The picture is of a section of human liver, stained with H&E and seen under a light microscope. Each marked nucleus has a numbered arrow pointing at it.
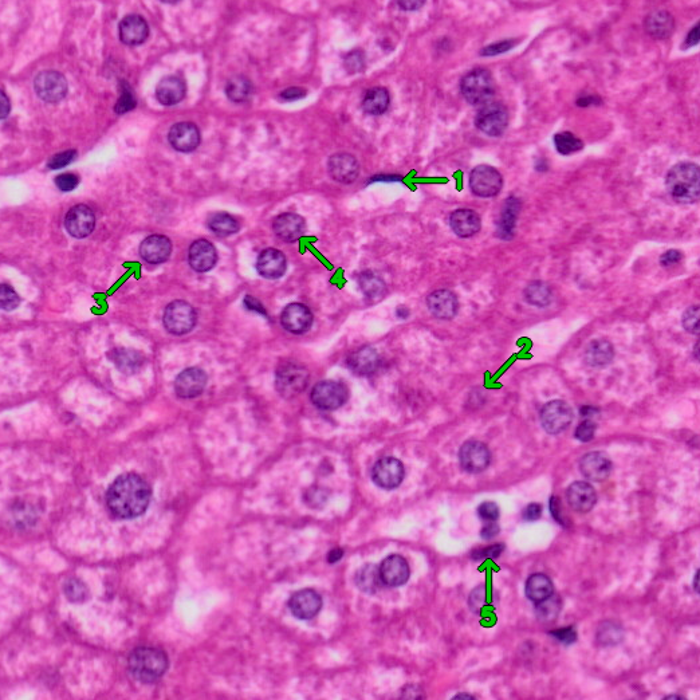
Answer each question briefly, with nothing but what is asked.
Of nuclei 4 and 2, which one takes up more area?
4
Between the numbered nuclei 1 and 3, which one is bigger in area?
3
